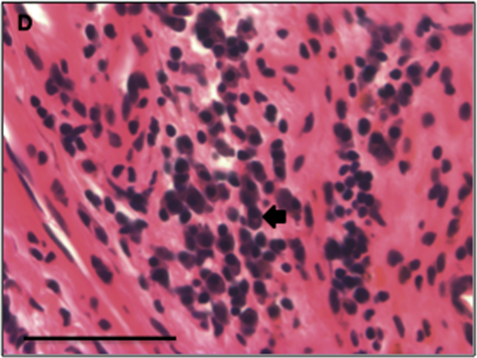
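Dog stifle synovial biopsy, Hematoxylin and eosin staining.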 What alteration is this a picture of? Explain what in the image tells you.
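Mononuclear inflammatory cells. Dense collections of small round cells with single dark nuclei. The cells lie among pink-staining connective tissue.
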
